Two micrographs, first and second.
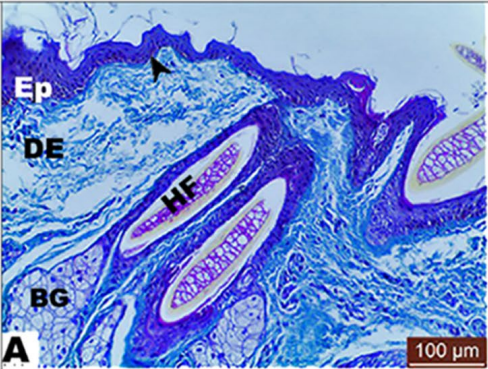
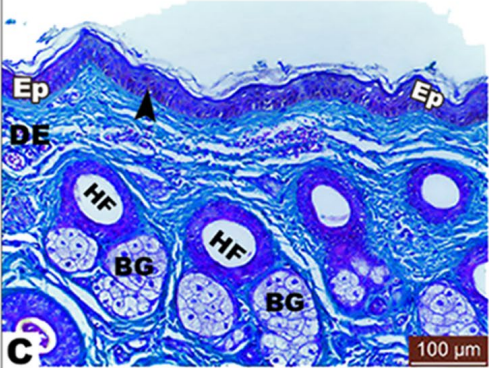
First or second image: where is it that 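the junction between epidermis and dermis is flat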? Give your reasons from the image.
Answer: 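The second image. First image: the lower border of the epidermis is uneven, with projections into the dermis.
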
